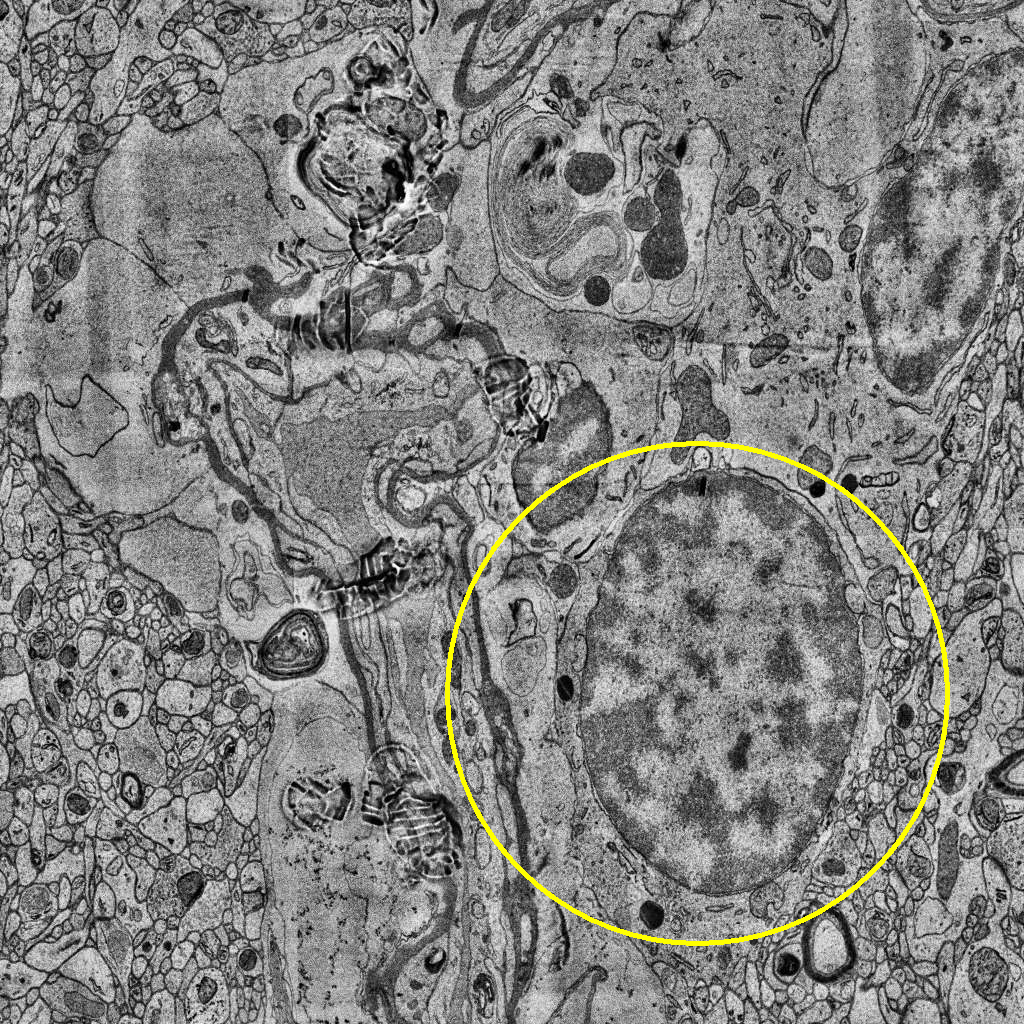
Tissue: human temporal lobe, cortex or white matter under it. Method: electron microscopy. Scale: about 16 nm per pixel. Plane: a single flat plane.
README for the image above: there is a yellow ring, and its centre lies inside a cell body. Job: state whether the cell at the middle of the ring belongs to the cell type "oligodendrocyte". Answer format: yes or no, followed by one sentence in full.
Yes, the cell lying at the middle of the ring in the image belongs to that type.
